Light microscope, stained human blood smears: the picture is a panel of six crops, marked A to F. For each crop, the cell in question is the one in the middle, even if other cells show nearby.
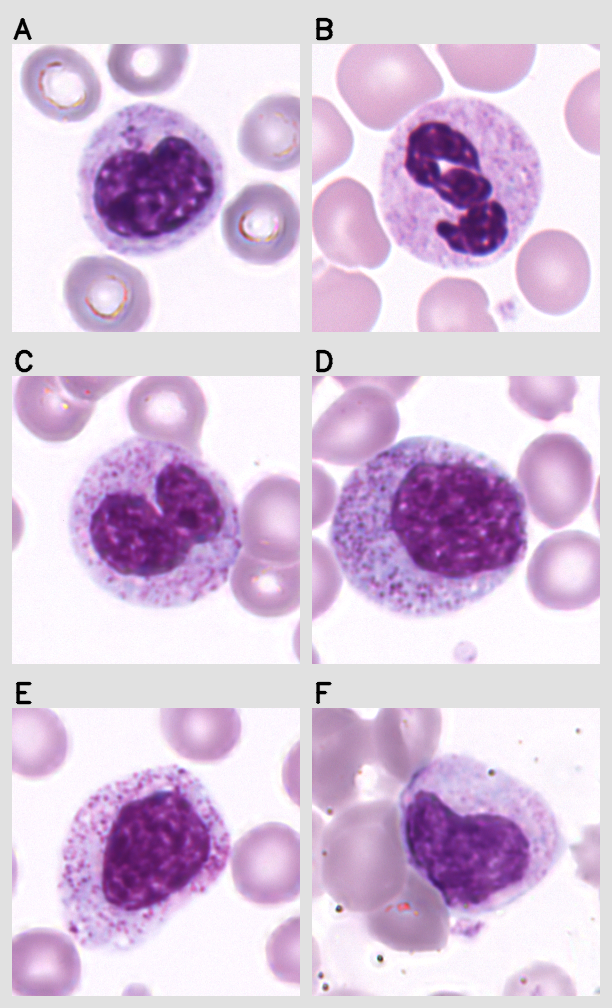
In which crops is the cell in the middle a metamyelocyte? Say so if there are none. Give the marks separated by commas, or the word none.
A, E, F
